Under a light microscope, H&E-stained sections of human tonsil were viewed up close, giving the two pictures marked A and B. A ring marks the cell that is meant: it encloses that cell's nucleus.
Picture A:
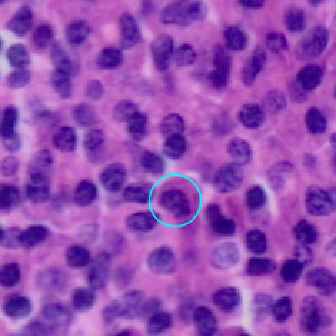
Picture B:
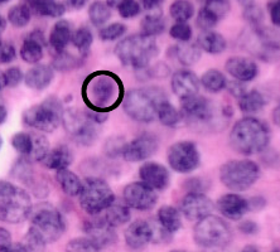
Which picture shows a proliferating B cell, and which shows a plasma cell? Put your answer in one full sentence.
Picture A is of a plasma cell, and picture B is of a proliferating B cell.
